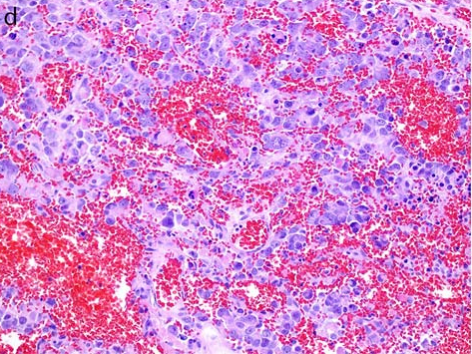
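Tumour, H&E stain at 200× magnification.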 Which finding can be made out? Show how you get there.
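The tumour cells are large with enlarged nuclei. Nuclei vary markedly in size and shape and are dark. The cells lie among abundant red blood cells.
Answer: large pleomorphic cells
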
